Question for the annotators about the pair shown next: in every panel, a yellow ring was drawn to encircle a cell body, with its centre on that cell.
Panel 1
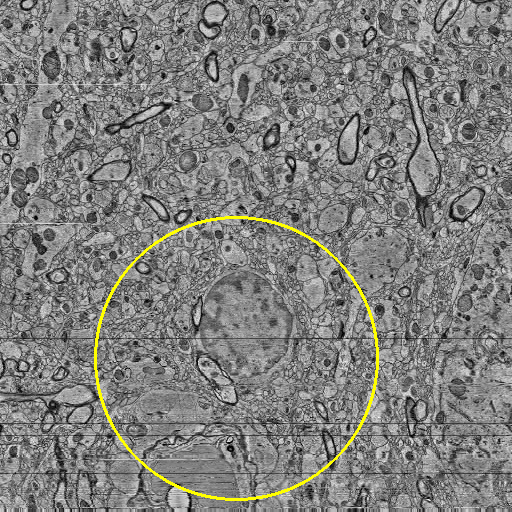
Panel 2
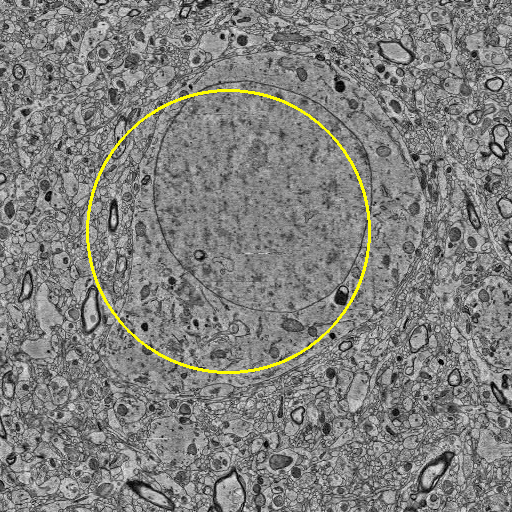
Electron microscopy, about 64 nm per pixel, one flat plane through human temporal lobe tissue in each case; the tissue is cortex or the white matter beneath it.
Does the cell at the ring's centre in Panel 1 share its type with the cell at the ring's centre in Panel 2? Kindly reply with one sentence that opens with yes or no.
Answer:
No, in Panels 1 and 2 the cells at the ring centres belong to separate types.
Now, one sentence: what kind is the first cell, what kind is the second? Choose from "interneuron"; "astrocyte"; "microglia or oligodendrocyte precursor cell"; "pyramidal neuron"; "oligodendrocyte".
The first picture has an oligodendrocyte at its ring centre, and the second has a pyramidal neuron.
